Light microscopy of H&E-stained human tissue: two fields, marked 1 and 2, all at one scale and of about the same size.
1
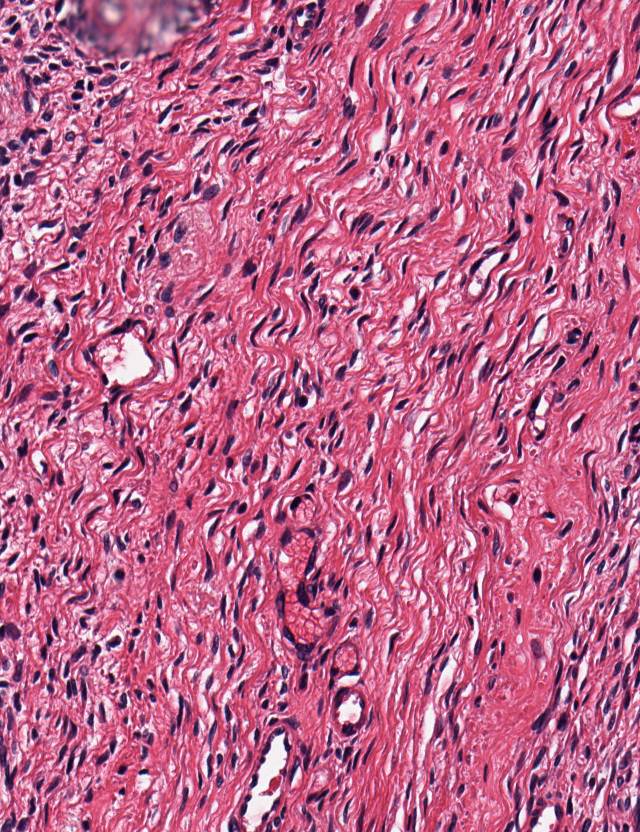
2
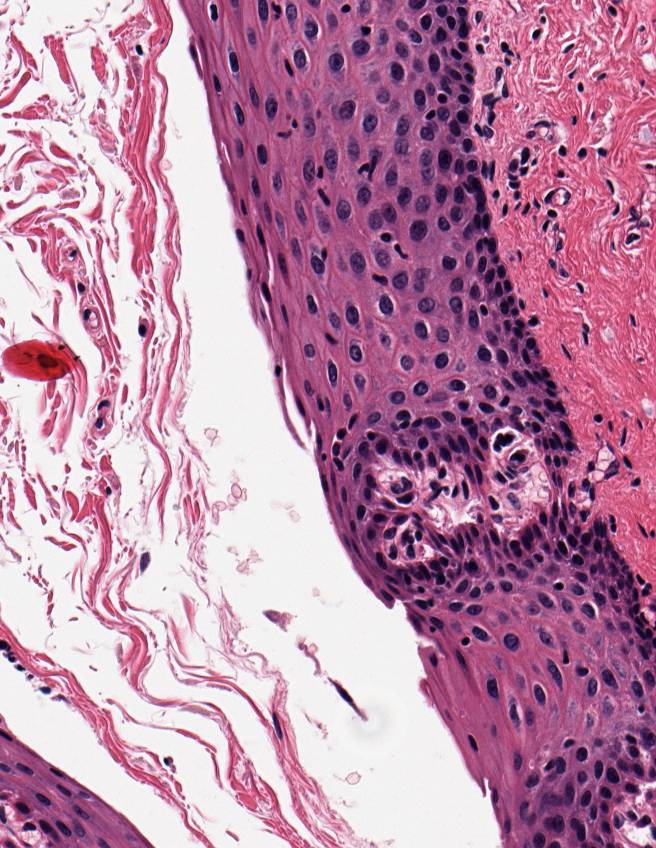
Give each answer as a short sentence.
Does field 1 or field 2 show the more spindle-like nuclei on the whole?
It is field 1 whose nuclei are the more elongated.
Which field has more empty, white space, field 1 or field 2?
It is field 2 in which white space covers the larger part.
